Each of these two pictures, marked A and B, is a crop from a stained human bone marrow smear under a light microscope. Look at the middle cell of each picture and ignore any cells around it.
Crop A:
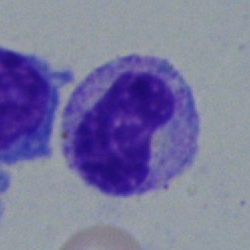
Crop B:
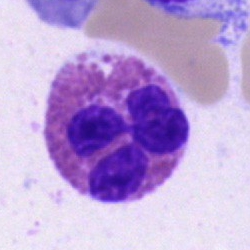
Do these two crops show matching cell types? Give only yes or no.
no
